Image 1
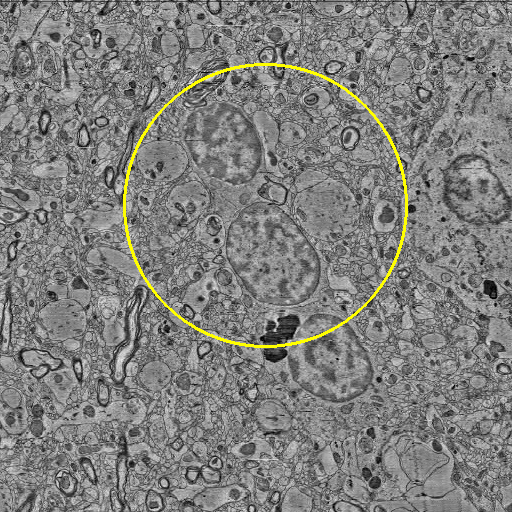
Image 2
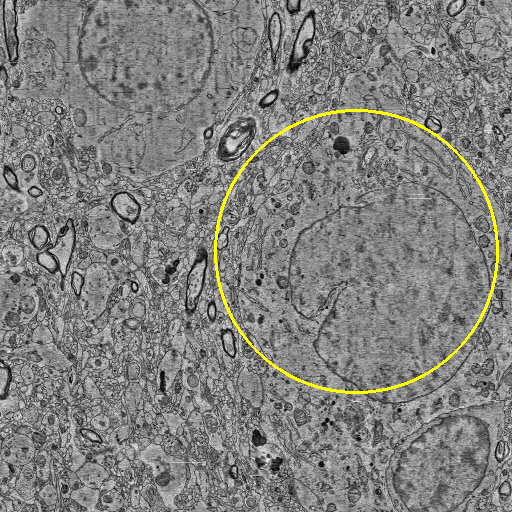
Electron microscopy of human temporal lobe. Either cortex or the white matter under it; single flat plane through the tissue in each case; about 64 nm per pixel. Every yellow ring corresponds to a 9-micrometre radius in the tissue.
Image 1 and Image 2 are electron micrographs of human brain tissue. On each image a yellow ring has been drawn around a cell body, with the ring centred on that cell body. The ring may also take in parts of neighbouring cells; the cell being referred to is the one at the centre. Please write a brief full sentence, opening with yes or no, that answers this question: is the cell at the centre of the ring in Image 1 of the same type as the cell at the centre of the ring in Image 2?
No, the two cells are of two types.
